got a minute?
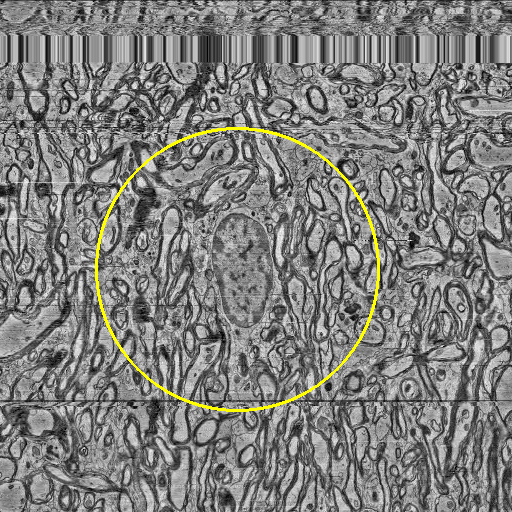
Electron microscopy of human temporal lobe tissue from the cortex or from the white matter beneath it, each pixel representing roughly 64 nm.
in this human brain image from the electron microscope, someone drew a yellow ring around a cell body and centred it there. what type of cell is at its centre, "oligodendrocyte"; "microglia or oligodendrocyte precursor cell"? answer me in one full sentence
It's a microglial cell or oligodendrocyte precursor cell at the middle of that yellow ring in the shot.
